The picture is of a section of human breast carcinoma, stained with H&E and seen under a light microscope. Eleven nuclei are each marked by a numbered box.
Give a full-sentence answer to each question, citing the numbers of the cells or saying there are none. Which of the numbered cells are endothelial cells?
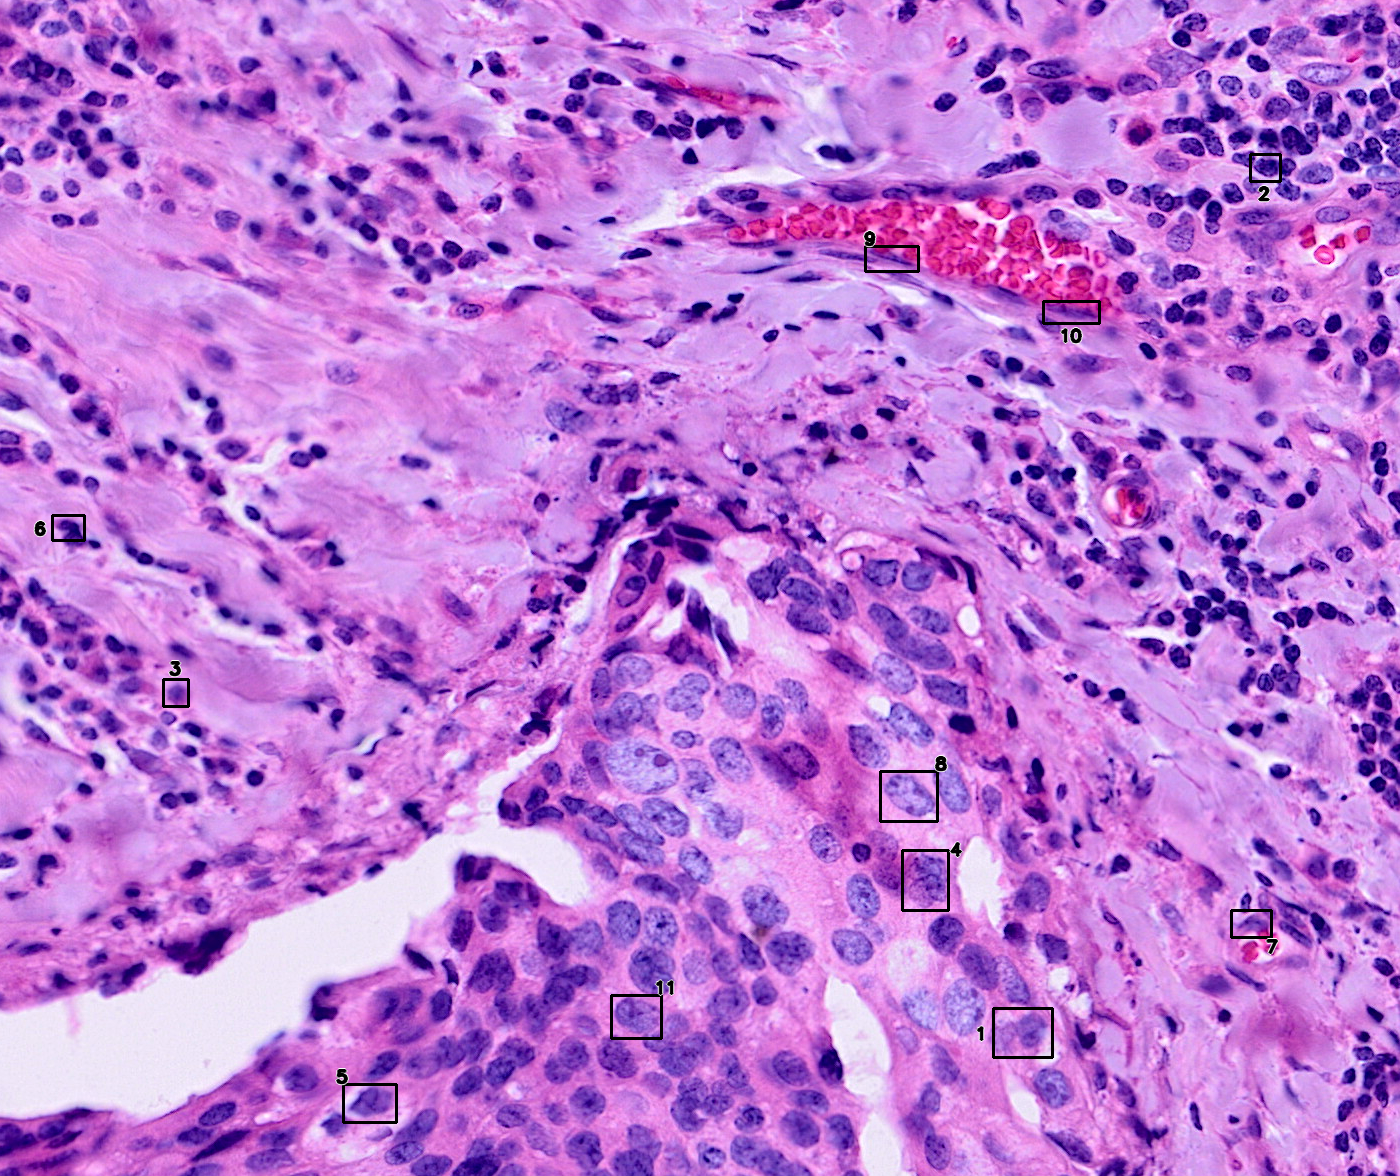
The cells that have numbers 7, 9 and 10 are endothelial cells.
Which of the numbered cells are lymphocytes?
The cells marked with the numbers 2 and 6 are lymphocytes.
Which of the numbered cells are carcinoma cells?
Cells numbered 1, 4, 5, 8 and 11 belong to the group of carcinoma cells.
